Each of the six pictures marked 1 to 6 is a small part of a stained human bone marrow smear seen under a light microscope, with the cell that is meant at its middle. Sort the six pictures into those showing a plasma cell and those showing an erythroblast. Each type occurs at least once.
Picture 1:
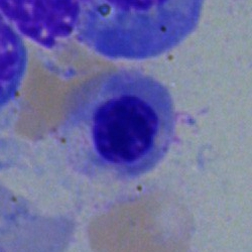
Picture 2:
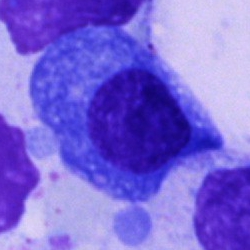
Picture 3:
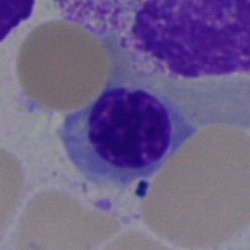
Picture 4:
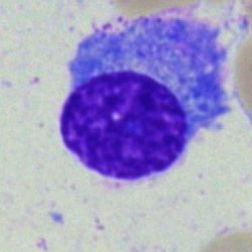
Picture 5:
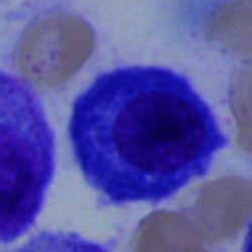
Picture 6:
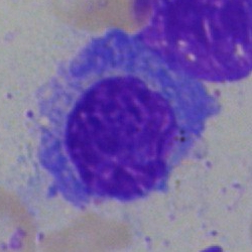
1: erythroblast
2: plasma cell
3: erythroblast
4: plasma cell
5: plasma cell
6: plasma cell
